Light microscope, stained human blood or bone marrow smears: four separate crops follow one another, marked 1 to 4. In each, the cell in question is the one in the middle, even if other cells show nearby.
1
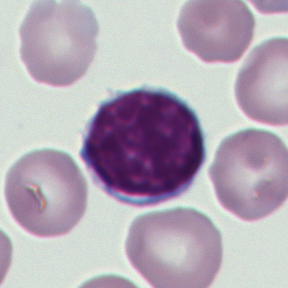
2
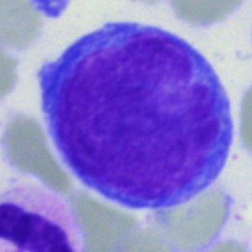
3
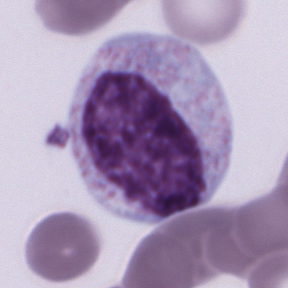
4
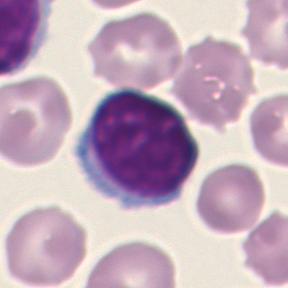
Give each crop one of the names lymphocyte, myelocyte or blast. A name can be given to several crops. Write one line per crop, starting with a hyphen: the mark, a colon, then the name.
- 1: lymphocyte
- 2: blast
- 3: myelocyte
- 4: lymphocyte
